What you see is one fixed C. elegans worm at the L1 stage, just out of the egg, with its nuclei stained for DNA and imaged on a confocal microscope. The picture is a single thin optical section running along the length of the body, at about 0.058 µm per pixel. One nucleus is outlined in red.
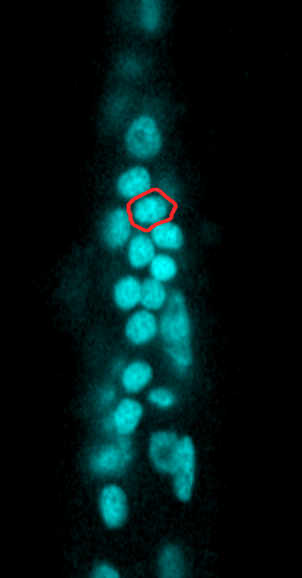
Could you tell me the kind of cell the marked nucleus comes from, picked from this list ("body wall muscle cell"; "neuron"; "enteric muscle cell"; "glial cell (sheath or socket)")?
glial cell (sheath or socket)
